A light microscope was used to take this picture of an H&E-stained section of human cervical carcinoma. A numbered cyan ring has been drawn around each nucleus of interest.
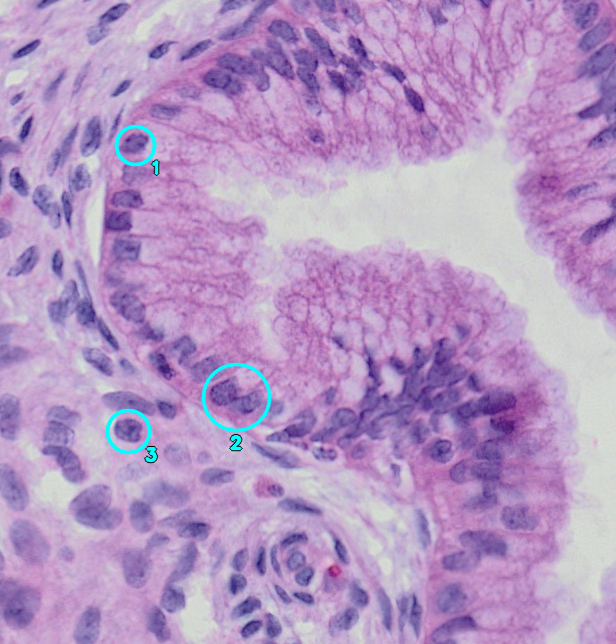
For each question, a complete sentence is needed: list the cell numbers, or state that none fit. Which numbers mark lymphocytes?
Just one of the numbered cells is a lymphocyte, namely number 3.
